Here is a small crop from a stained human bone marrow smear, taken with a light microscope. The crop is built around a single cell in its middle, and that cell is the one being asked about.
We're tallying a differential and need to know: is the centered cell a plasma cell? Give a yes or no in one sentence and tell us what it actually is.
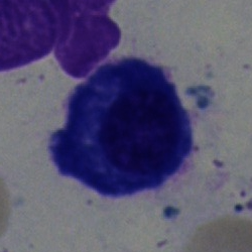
Yes, the cell centred in this crop is a plasma cell.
